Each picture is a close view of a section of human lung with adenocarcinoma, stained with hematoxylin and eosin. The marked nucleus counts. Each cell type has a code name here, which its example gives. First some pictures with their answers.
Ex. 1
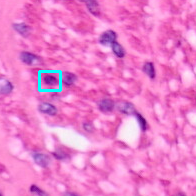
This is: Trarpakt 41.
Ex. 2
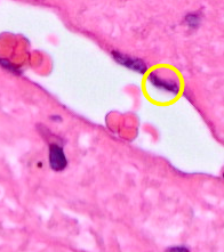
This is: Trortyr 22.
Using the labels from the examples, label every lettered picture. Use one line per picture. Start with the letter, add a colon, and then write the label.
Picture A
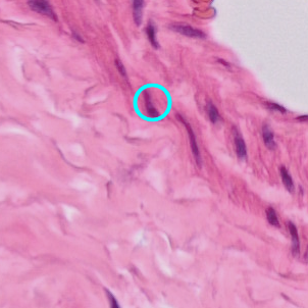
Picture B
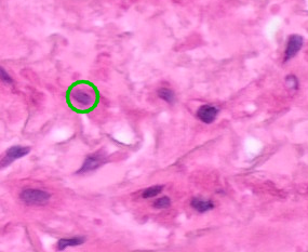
A: Trarpakt 41.
B: Trarpakt 41.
